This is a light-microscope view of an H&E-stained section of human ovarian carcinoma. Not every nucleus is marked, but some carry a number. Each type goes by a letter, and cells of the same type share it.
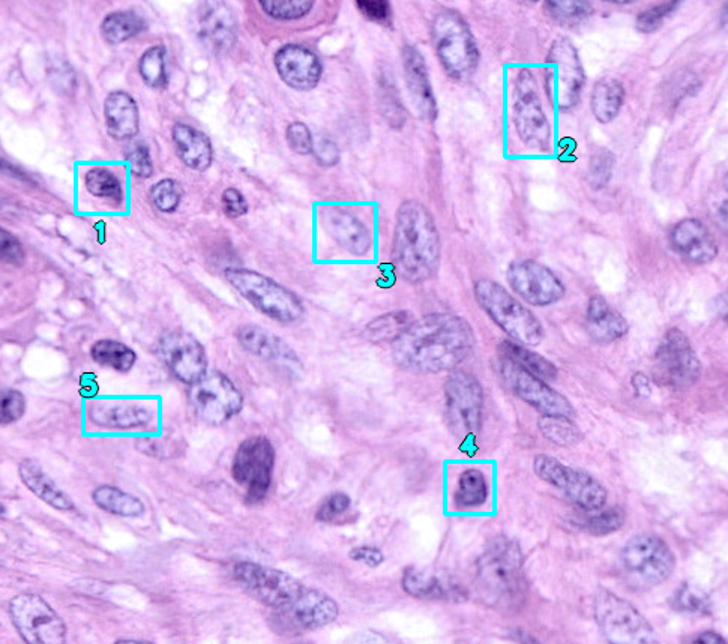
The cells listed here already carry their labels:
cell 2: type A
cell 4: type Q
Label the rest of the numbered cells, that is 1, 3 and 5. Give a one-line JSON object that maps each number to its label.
{"1": "type Q", "3": "type A", "5": "type A"}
